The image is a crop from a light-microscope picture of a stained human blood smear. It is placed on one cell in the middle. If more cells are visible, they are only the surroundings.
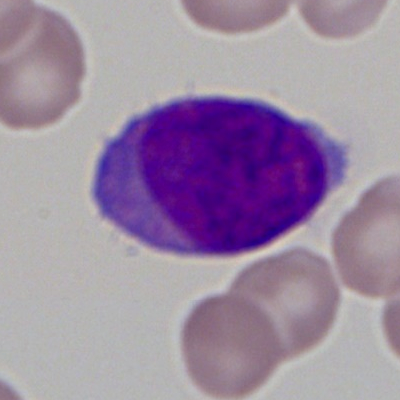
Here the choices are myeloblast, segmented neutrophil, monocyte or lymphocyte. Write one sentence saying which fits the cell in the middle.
The middle position in this crop is taken by a myeloblast.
